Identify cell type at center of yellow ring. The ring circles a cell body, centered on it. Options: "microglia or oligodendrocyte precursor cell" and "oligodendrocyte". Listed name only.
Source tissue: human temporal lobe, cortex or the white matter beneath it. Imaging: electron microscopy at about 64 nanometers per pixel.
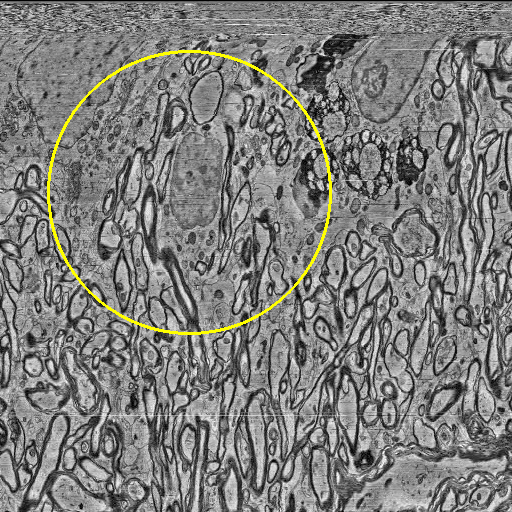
oligodendrocyte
